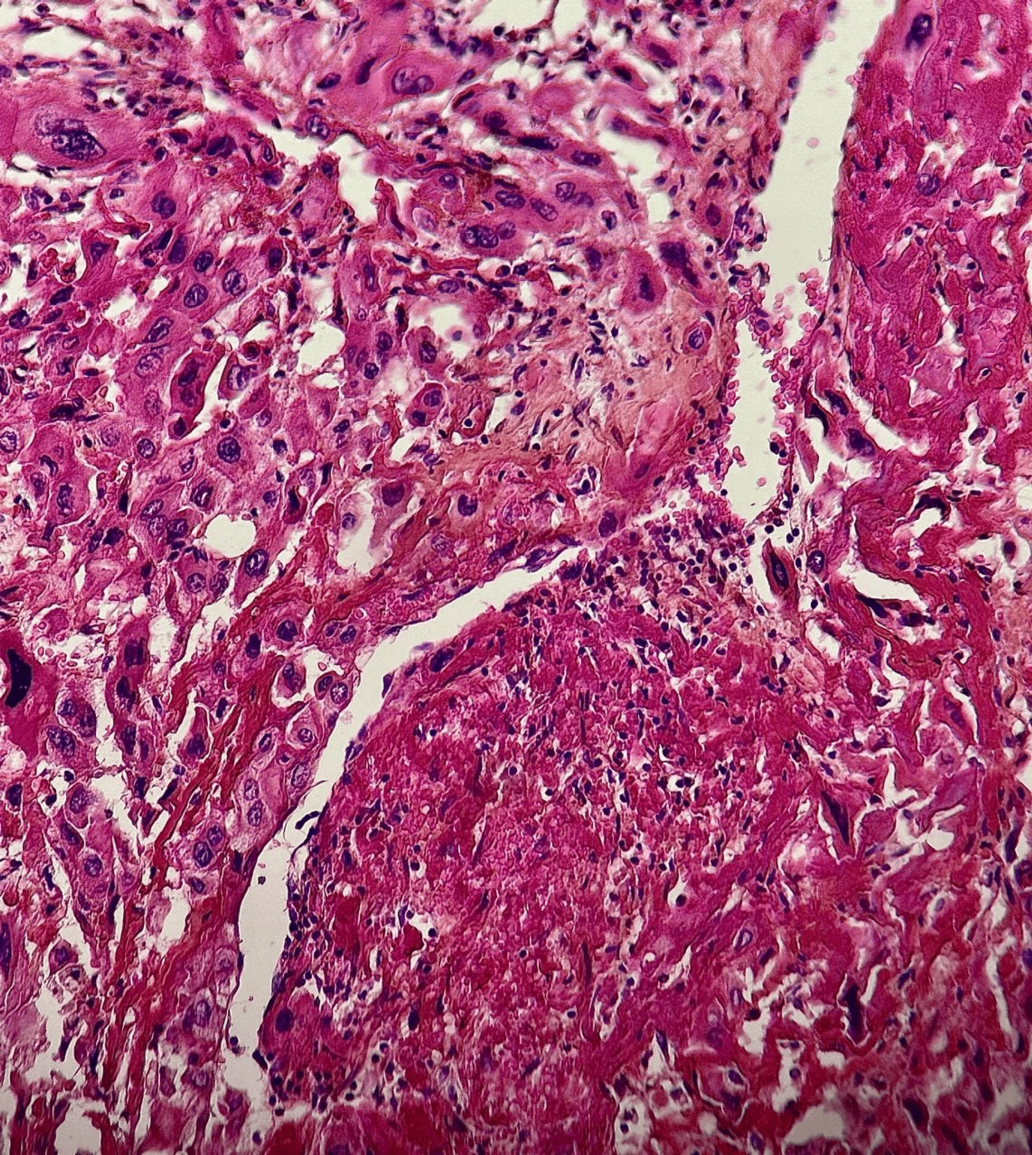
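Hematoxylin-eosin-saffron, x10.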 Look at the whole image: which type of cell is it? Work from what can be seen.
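Large polygonal cells with abundant pink cytoplasm lie in sheets in the upper left. Their nuclei are large and round to oval with pale chromatin and visible nucleoli. A few nuclei are markedly enlarged and dark.
Hence: Tumor cells.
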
